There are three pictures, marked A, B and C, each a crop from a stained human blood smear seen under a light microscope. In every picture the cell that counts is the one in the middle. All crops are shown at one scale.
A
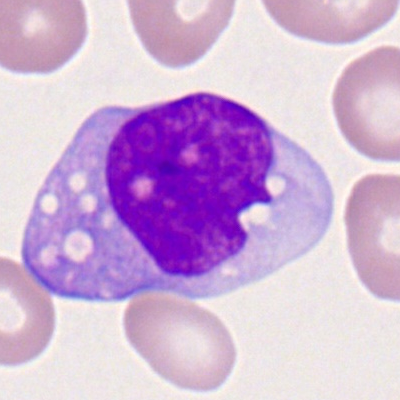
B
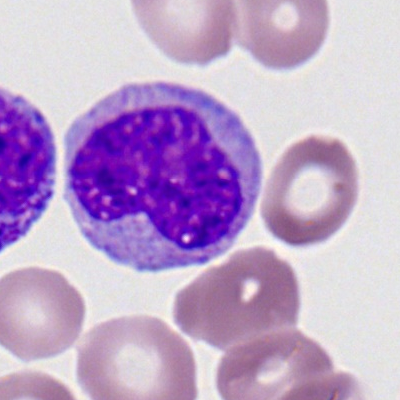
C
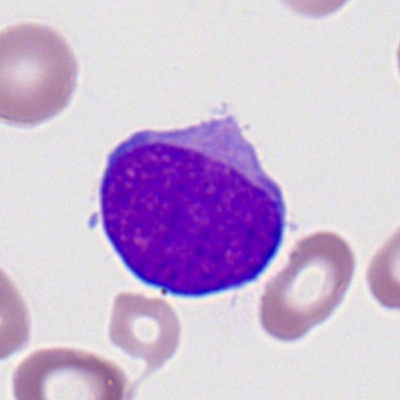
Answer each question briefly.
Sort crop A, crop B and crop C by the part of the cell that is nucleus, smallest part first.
A, B, C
